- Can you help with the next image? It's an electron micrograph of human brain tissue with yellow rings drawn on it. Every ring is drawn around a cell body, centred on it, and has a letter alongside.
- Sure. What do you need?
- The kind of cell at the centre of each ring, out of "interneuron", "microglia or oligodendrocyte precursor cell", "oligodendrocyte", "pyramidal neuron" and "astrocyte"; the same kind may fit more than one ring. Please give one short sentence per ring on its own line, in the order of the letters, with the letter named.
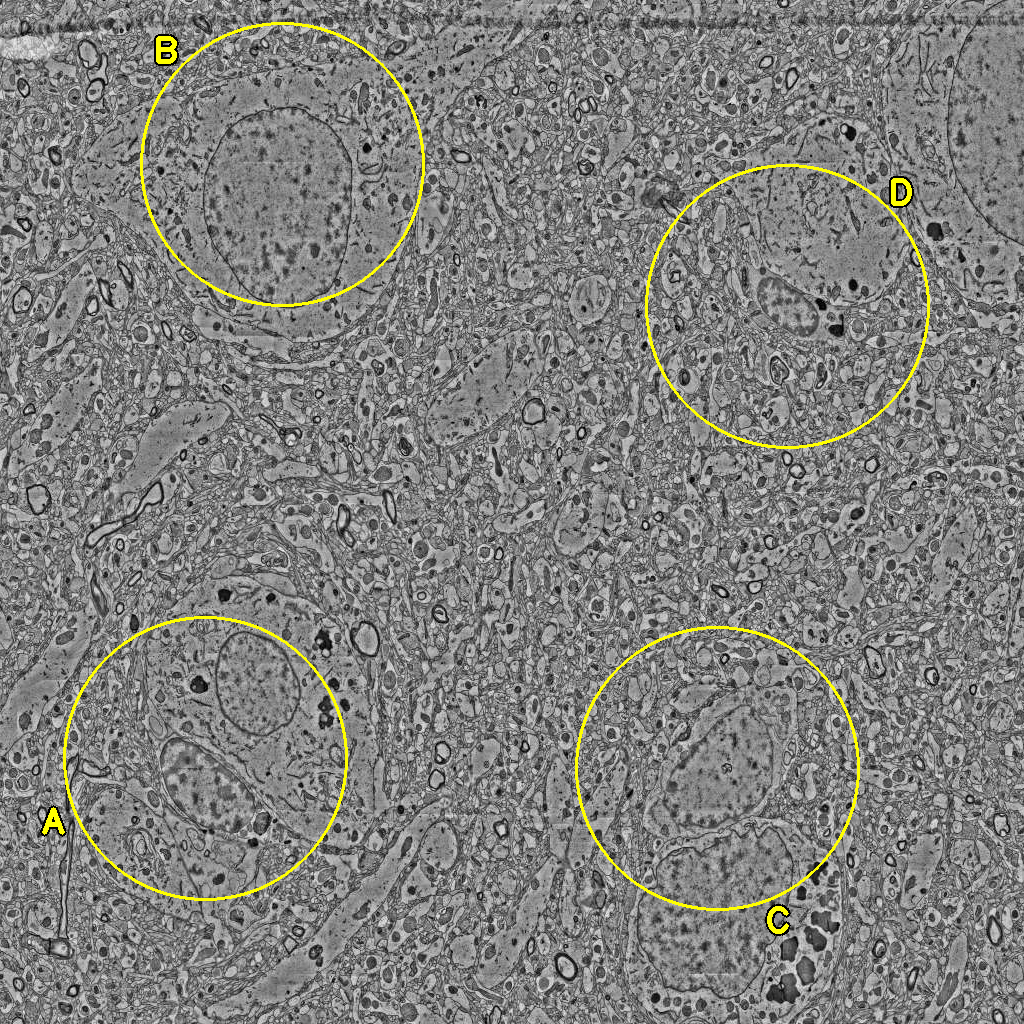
Ring A picks out a microglial cell or oligodendrocyte precursor cell.
Ring B picks out a pyramidal neuron.
Ring C picks out an interneuron.
Ring D picks out an oligodendrocyte.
